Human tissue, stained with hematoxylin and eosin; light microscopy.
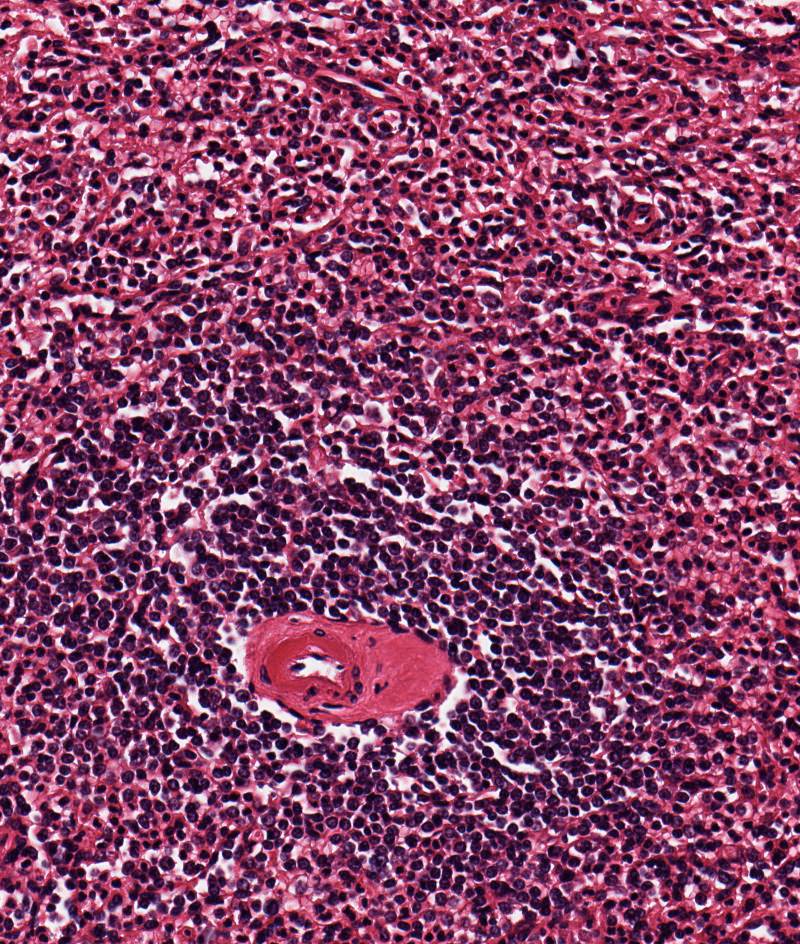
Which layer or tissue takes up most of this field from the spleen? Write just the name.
white pulp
